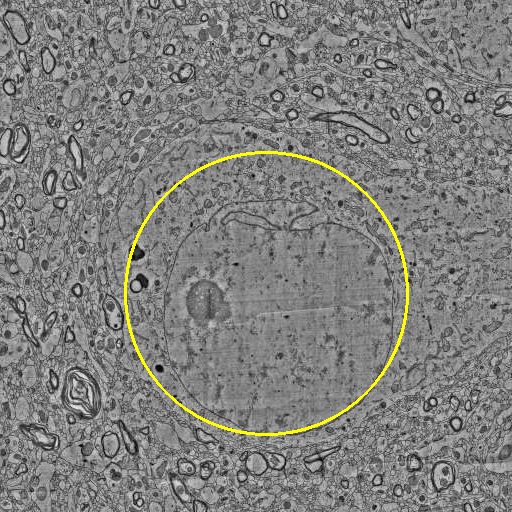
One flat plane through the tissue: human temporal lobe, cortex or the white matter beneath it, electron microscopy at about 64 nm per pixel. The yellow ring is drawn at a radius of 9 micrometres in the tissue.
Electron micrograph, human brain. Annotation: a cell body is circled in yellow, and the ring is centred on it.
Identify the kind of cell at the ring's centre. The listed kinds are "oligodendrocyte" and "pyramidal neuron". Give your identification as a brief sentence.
The circled cell body is that of a pyramidal neuron.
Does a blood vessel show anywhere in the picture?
No, there is no blood vessel.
